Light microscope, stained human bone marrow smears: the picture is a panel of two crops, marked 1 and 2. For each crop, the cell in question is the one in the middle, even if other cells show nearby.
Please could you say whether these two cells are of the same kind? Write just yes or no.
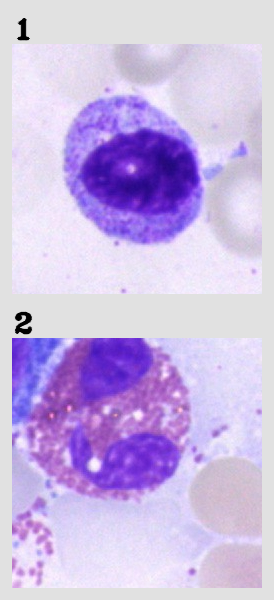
no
